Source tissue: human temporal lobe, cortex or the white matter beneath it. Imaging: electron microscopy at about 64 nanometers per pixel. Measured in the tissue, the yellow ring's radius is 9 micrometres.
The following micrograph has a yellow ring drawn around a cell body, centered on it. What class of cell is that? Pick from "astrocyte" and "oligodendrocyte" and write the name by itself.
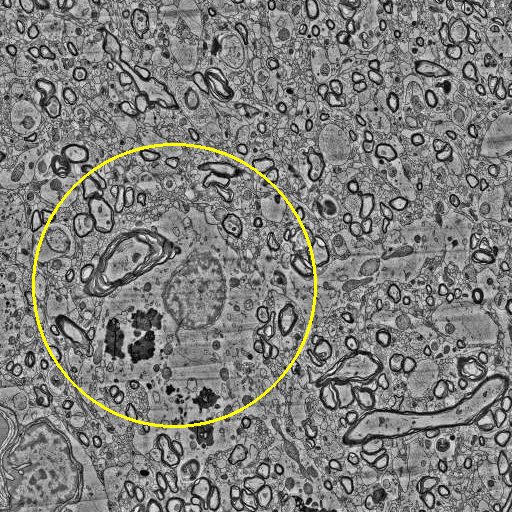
astrocyte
